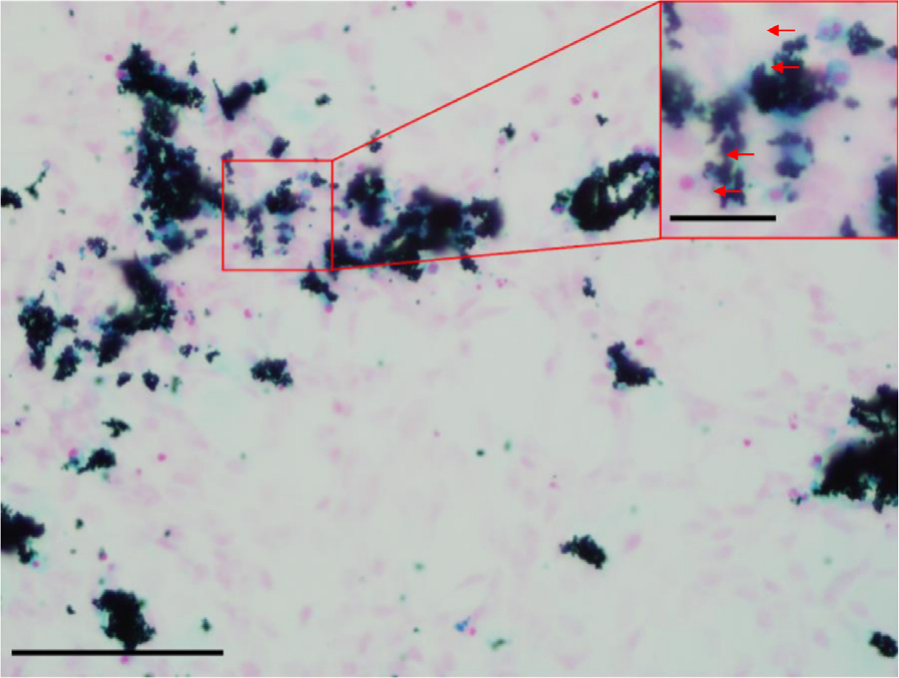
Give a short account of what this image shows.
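This is a bright-field preparation of cultured cells. Pale pink, elongated cell outlines are spread faintly across a light background, with small pink to red dots scattered among them. Dark blue to blue-black irregular clumps of varying size lie on and between the cells, and the enlarged inset shows blue staining in the cytoplasm next to them.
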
